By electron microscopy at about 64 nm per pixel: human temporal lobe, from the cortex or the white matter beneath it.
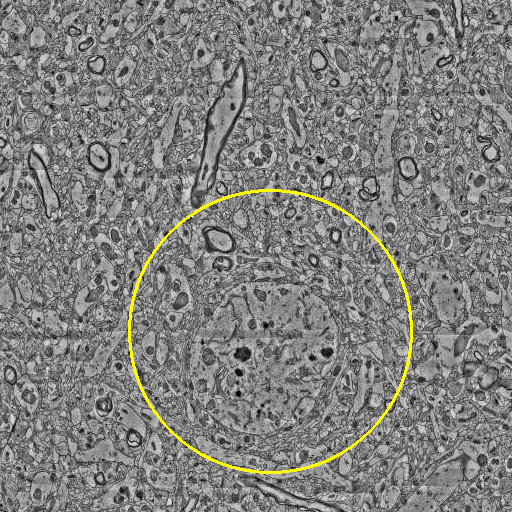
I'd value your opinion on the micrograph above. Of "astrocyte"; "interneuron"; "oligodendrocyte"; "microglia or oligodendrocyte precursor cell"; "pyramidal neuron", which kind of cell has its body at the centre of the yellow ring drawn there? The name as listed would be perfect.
pyramidal neuron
